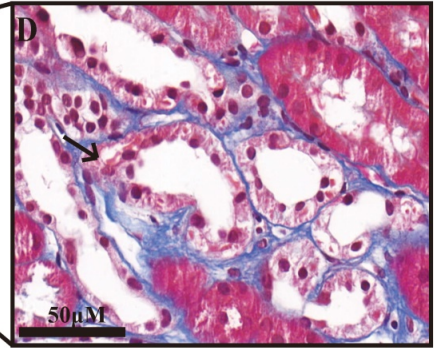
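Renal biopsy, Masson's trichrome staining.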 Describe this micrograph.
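Kidney tubules lined by cuboidal epithelial cells with dark red nuclei sit in an interstitium filled with blue-stained fibrous bands that wrap around and separate them. Some tubules have cells with pale, vacuolated cytoplasm, while neighbouring tubules have deep red, granular cytoplasm. This is interstitial fibrosis around the tubules.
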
